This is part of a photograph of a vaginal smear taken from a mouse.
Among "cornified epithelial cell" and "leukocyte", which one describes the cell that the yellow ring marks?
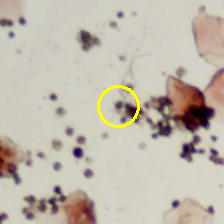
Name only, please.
leukocyte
